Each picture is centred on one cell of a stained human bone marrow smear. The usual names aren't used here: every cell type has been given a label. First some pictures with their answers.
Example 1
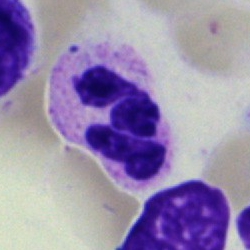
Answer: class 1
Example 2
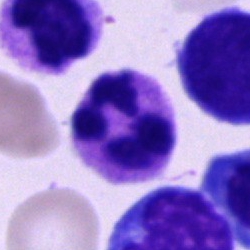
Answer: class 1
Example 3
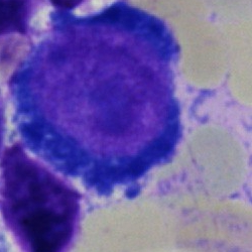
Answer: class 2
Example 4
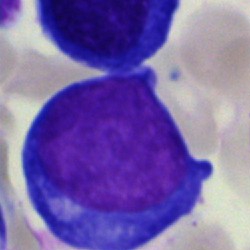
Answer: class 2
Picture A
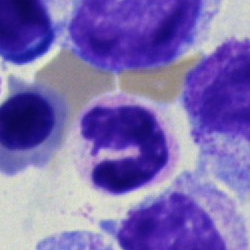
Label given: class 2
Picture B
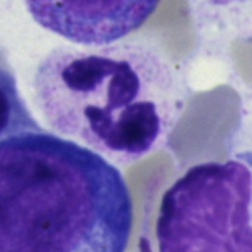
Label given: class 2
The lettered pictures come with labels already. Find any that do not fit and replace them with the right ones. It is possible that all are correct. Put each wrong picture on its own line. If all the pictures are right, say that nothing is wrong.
Wrong: A (class 2); correct: class 1
Wrong: B (class 2); correct: class 1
